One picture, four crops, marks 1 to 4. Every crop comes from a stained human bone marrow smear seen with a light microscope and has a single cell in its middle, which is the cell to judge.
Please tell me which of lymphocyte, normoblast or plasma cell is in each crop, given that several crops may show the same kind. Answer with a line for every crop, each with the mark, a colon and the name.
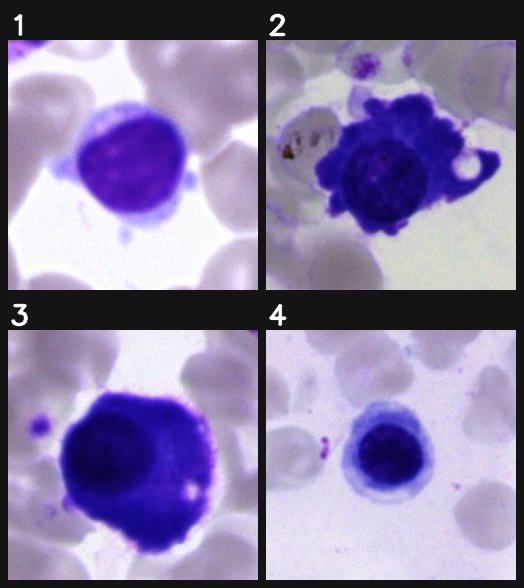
1: lymphocyte
2: plasma cell
3: plasma cell
4: normoblast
